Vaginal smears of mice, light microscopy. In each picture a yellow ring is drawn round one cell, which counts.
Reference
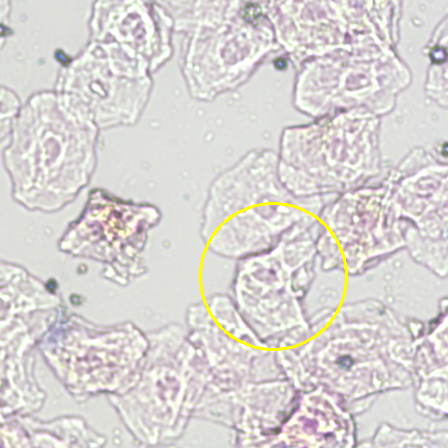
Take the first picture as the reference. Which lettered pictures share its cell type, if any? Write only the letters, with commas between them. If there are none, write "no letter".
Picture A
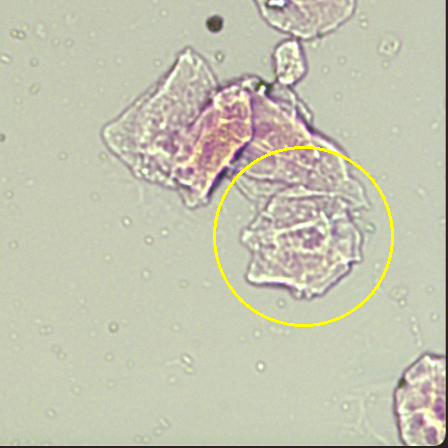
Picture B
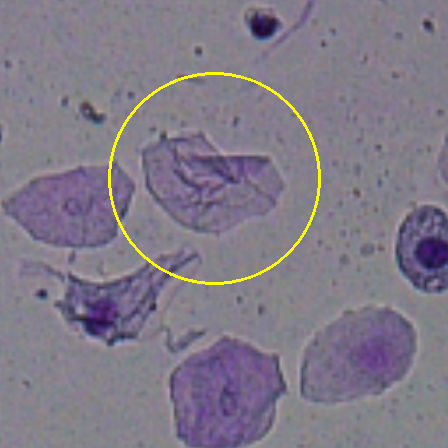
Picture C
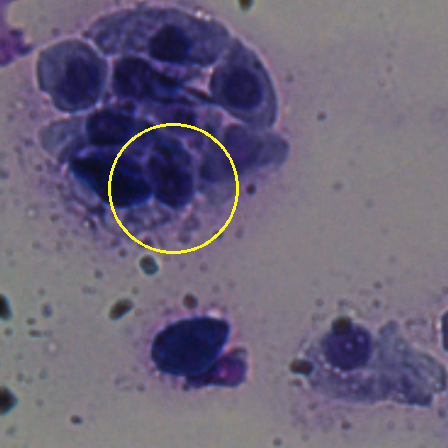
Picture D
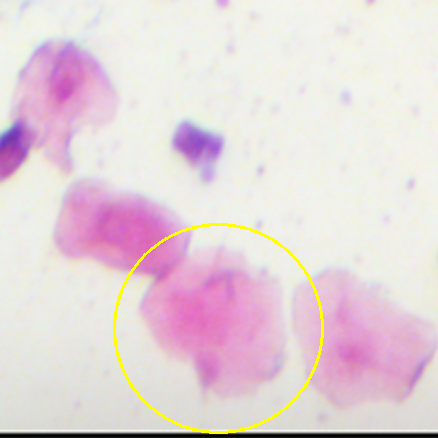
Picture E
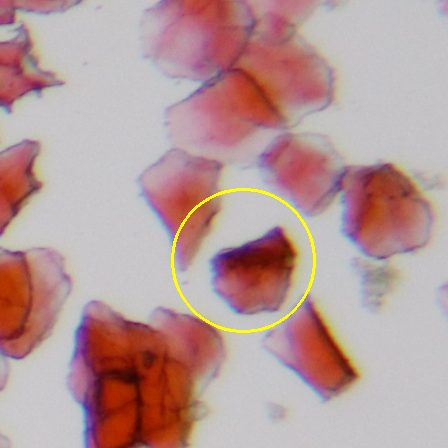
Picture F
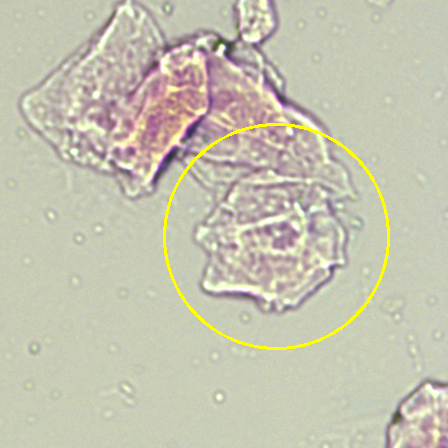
A, B, D, E, F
